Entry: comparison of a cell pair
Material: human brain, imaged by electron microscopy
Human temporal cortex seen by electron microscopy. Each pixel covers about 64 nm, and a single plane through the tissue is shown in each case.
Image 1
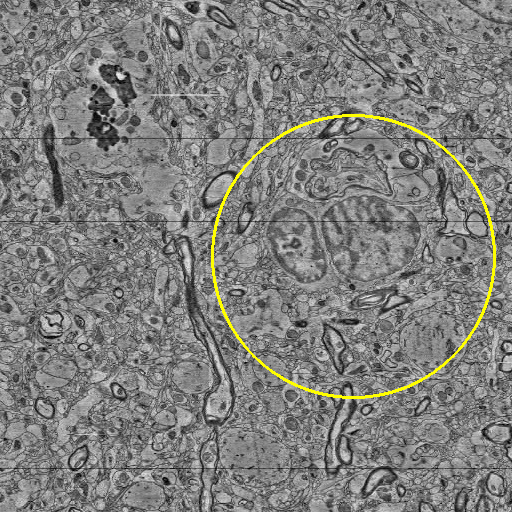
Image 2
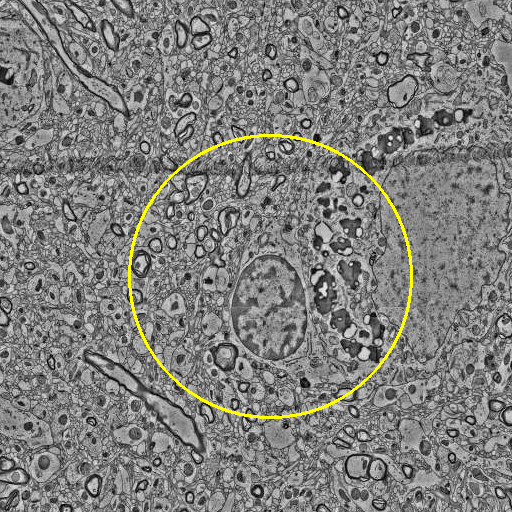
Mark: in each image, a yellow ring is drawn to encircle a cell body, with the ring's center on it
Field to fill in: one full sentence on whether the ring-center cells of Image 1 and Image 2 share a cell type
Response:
No, Image 1 and Image 2 show ring-center cells of two separate types.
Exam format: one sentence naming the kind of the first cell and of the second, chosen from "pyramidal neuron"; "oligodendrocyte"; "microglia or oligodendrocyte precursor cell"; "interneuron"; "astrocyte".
The first picture's cell is an oligodendrocyte, and the second picture's cell is a microglial cell or oligodendrocyte precursor cell.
